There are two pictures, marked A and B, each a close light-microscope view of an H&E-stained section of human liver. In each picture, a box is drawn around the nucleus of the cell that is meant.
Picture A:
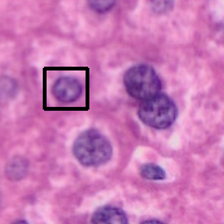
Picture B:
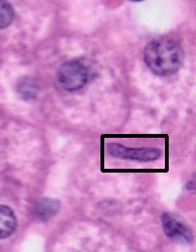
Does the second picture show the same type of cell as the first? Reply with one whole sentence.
No; the cell in picture A is a hepatocyte, while the one in picture B is a Kupffer cell.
